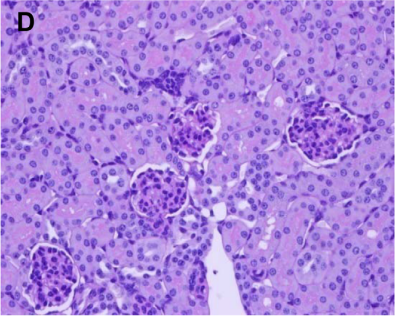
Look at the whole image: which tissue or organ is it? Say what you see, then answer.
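Round cellular tufts enclosed by capsules. Densely packed tubules lined by cuboidal cells with round nuclei. So: Kidney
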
